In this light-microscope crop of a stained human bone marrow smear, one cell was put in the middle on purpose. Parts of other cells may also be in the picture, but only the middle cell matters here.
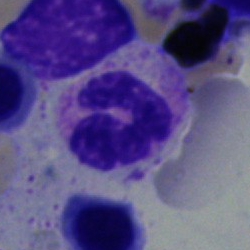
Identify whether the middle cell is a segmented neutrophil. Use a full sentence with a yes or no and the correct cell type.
Yes, the cell right in the middle is a segmented neutrophil.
